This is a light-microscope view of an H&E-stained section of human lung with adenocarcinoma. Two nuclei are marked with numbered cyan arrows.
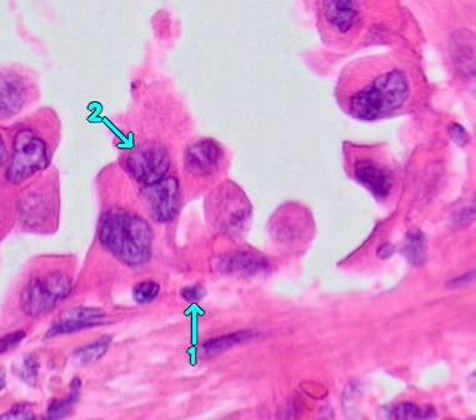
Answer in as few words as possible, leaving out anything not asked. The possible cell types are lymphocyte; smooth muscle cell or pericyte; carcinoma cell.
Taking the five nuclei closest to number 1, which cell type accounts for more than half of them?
smooth muscle cell or pericyte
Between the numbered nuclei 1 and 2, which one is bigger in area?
2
